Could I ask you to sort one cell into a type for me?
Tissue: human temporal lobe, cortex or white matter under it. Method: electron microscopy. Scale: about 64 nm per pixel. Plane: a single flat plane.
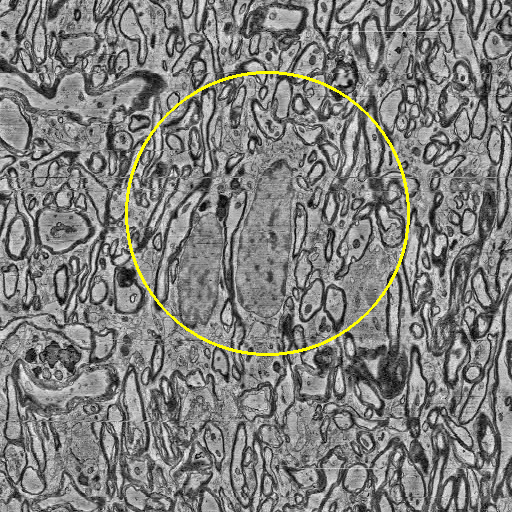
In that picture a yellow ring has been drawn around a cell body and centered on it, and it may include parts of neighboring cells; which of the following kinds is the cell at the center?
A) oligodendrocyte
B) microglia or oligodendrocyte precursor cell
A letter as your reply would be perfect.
B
